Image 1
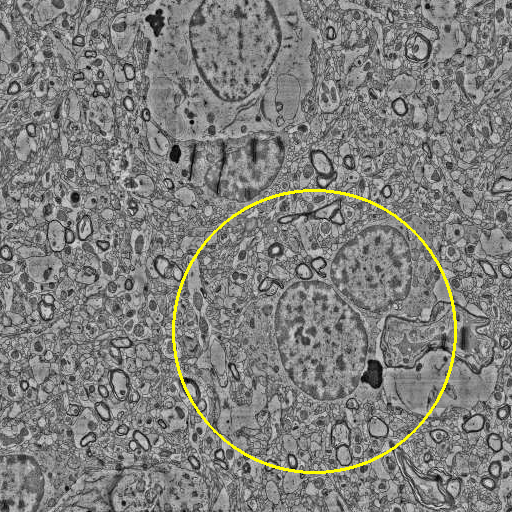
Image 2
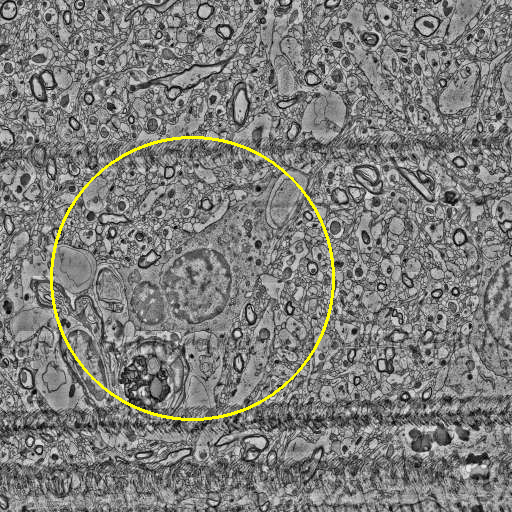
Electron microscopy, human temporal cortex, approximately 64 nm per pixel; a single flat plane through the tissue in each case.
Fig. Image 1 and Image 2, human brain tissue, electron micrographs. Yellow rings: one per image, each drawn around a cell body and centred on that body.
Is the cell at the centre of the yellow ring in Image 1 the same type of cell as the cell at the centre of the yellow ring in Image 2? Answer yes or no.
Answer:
yes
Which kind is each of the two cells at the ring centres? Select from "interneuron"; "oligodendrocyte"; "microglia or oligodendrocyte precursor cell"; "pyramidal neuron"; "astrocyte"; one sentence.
Each cell, in the first picture and the second, is an oligodendrocyte.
